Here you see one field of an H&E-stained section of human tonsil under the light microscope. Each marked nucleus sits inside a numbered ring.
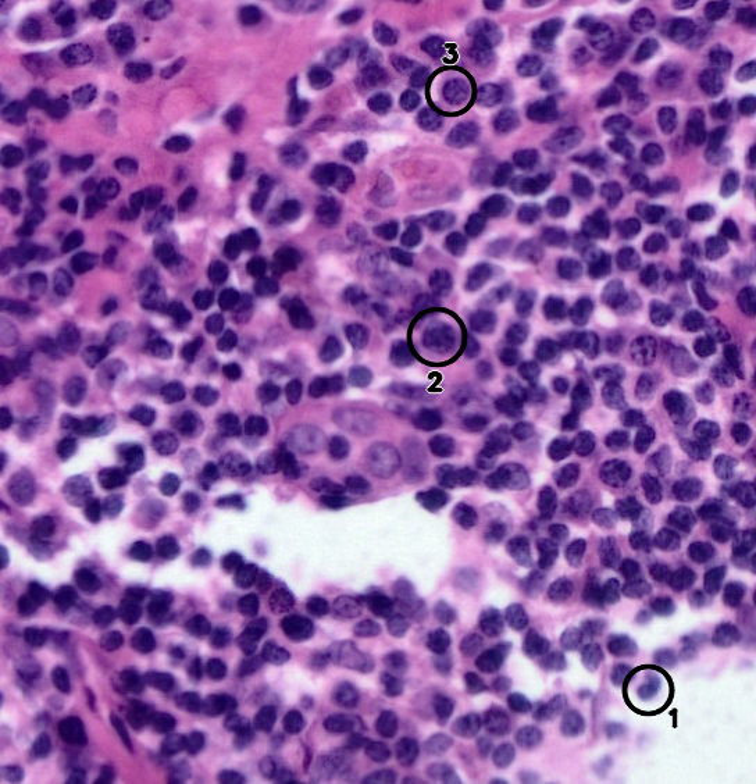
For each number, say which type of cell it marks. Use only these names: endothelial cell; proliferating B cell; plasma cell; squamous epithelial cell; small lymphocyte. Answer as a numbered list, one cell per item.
1. small lymphocyte
2. proliferating B cell
3. plasma cell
